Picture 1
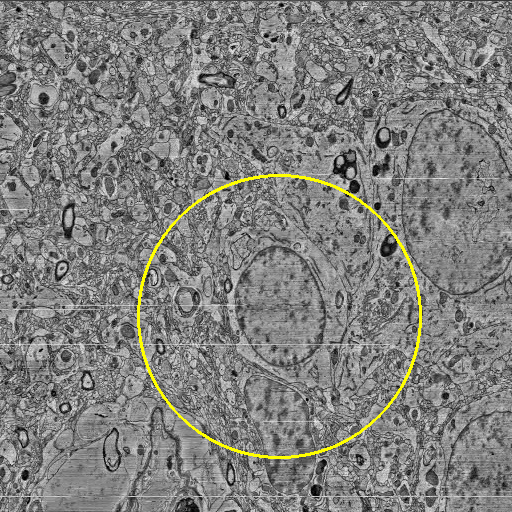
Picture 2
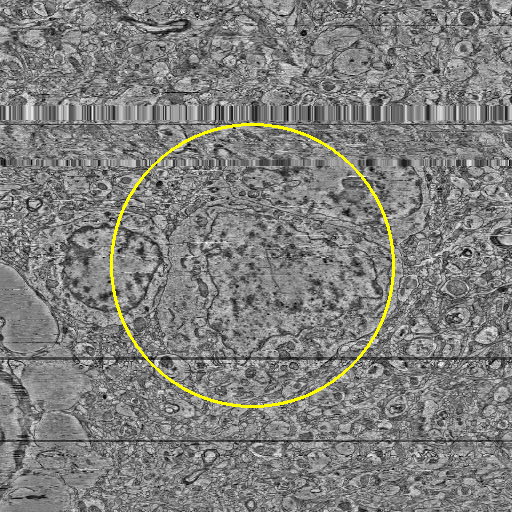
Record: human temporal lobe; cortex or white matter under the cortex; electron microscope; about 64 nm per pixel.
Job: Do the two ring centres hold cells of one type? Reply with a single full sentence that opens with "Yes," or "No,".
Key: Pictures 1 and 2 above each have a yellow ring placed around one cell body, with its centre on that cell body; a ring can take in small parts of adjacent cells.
No, the cells at the two ring centres are of two separate types.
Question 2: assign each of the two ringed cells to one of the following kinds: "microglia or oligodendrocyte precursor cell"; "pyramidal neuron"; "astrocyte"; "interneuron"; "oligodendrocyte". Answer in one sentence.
The two cells are an astrocyte in the first picture and an interneuron in the second.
